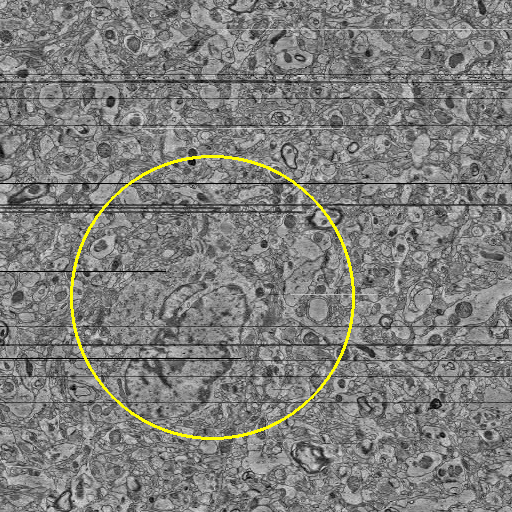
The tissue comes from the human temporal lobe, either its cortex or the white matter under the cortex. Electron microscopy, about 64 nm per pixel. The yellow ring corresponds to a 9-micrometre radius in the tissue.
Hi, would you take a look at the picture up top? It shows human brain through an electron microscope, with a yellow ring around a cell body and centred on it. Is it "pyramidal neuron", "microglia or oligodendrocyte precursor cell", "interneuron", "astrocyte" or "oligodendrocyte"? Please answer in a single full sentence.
The best fit for the cell in the middle of the ring is a microglial cell or oligodendrocyte precursor cell, I reckon.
